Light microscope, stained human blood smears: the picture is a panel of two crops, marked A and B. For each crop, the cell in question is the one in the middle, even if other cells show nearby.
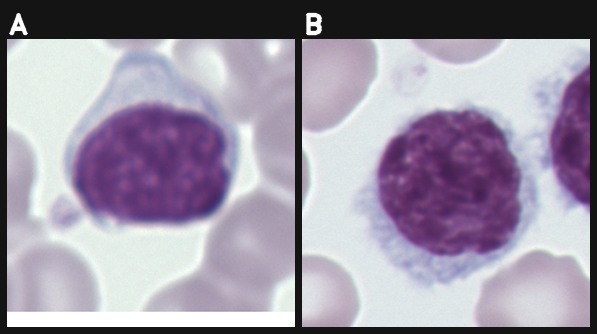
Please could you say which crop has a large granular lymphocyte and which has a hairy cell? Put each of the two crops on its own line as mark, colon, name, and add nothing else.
A: large granular lymphocyte
B: hairy cell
